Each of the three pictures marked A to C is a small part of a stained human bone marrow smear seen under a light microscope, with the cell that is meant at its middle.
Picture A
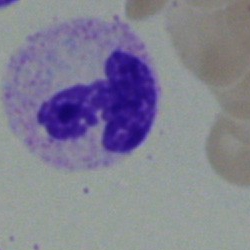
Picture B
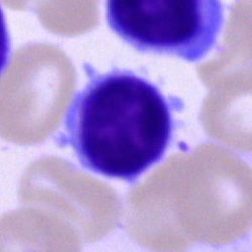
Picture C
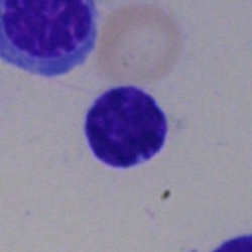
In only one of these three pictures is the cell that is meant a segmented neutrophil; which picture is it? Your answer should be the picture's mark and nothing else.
A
